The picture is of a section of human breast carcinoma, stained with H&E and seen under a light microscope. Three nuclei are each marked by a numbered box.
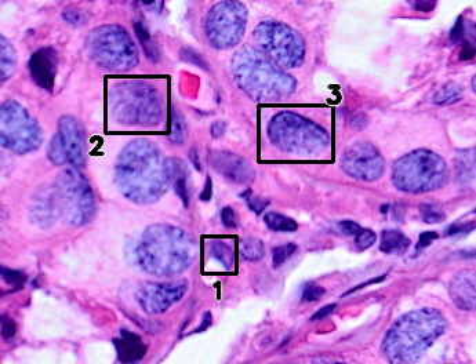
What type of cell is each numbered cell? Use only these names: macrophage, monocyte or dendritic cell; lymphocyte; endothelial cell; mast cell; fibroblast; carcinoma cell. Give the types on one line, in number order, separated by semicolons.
endothelial cell; carcinoma cell; carcinoma cell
